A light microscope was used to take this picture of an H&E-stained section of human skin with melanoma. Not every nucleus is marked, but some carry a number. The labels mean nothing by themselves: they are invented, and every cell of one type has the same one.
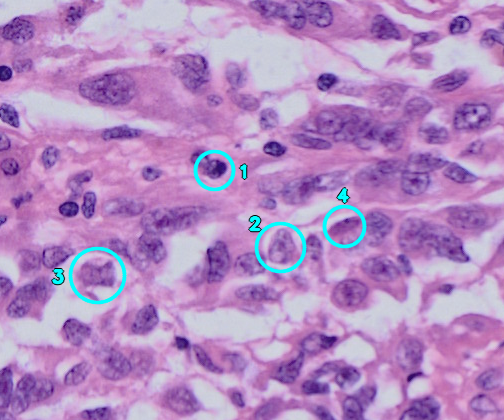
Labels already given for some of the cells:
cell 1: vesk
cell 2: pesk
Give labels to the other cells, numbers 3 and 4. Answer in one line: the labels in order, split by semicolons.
pesk; pesk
